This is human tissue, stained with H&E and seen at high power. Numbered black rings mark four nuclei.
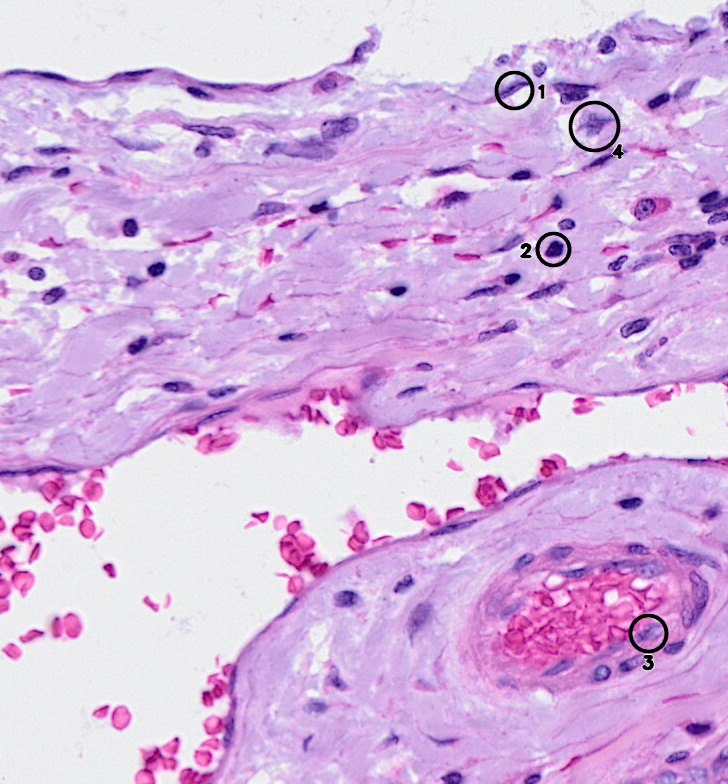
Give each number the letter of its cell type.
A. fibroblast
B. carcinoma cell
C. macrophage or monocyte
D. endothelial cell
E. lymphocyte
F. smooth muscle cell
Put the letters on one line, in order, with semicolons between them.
A; E; D; A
